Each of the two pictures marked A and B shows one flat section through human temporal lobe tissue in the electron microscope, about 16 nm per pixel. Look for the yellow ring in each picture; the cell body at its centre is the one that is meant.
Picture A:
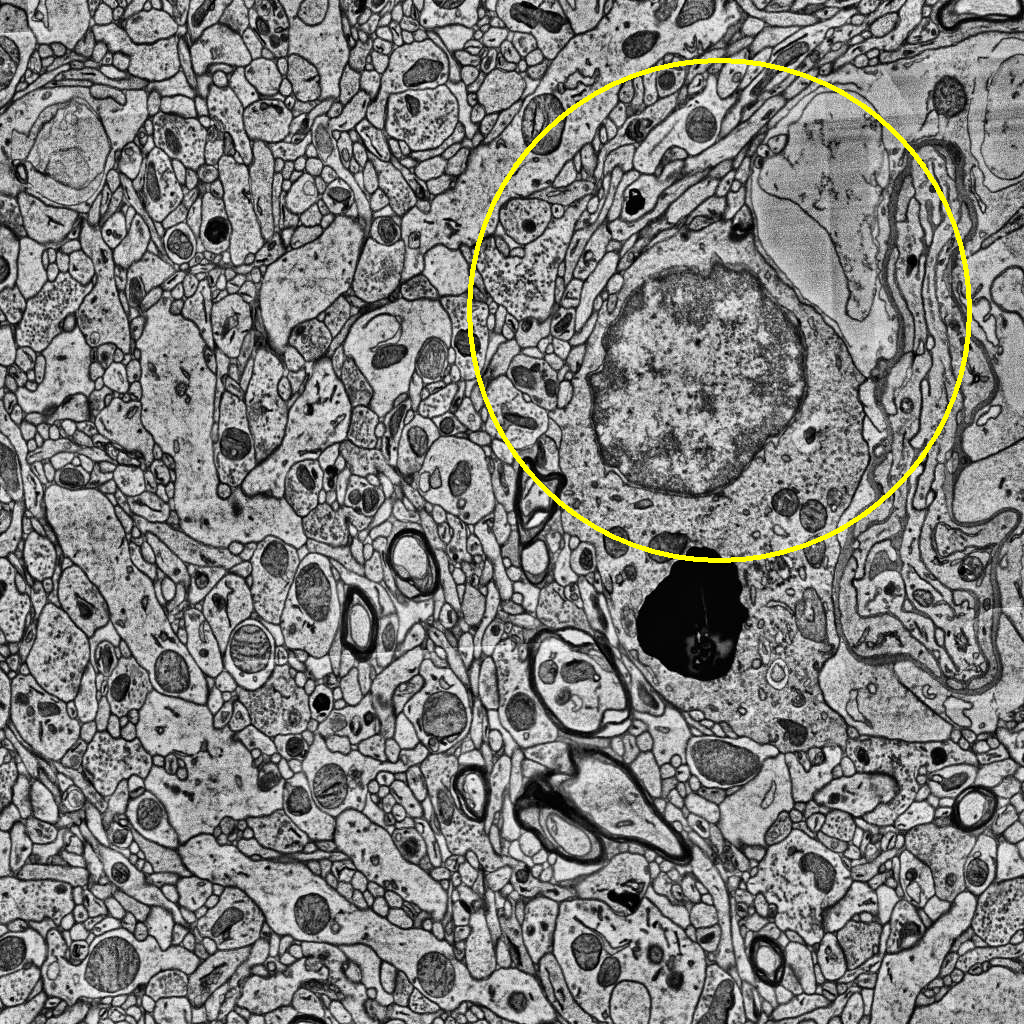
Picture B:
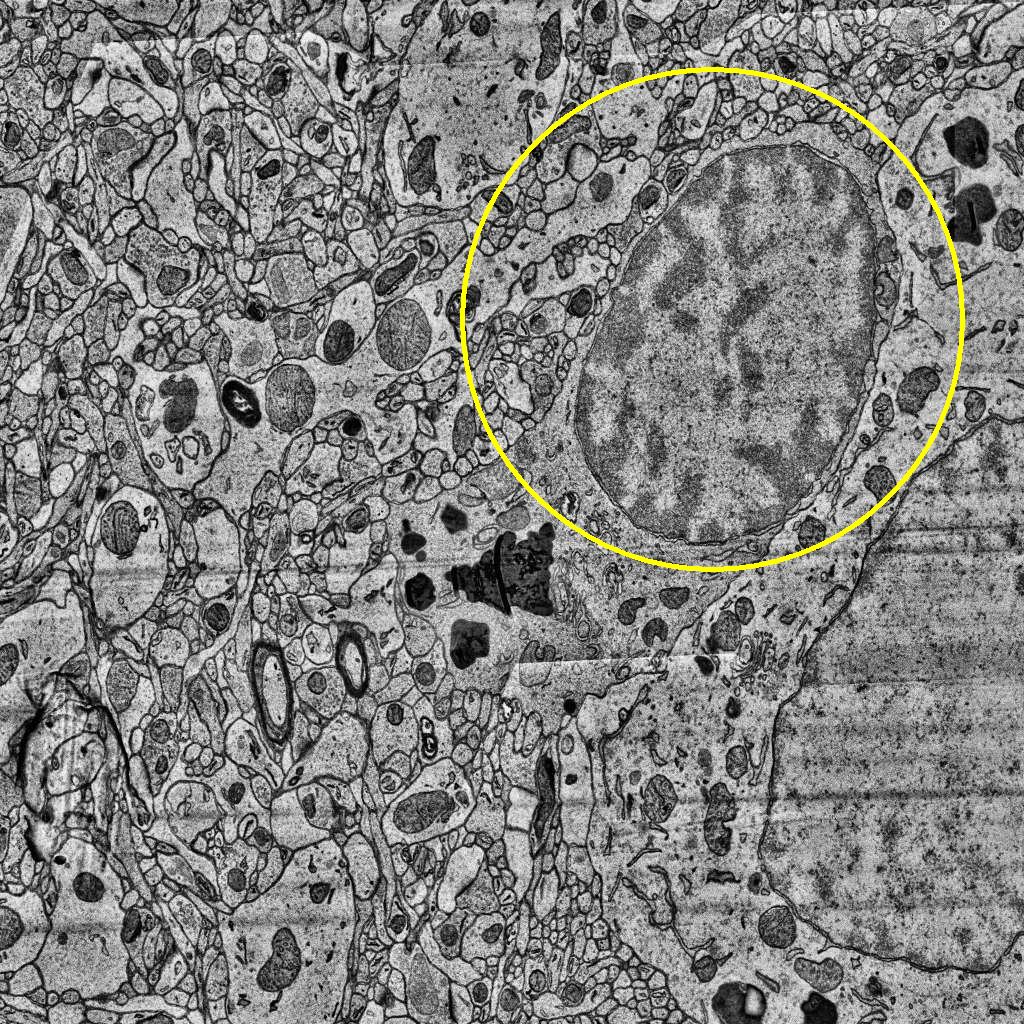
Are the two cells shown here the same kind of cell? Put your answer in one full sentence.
Yes, both cells are oligodendrocytes.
